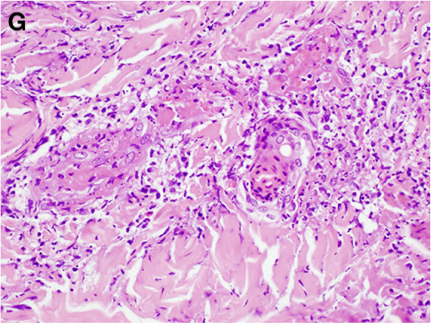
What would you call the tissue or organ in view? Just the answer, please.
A: Dermis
